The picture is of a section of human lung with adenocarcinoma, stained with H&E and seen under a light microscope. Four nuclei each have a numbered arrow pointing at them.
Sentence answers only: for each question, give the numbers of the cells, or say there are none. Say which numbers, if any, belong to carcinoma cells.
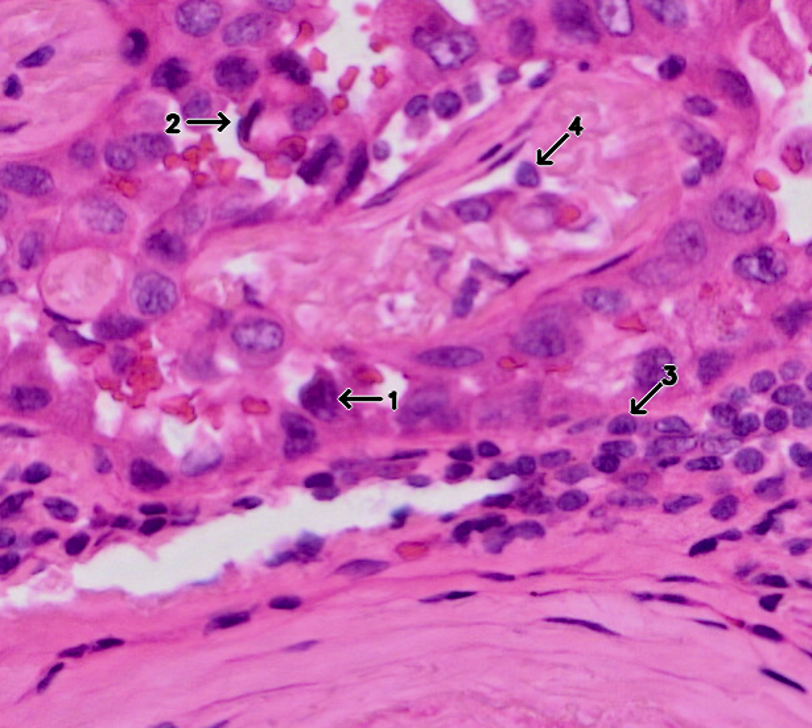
Identified as carcinoma cells are the cells numbered 1 and 2.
